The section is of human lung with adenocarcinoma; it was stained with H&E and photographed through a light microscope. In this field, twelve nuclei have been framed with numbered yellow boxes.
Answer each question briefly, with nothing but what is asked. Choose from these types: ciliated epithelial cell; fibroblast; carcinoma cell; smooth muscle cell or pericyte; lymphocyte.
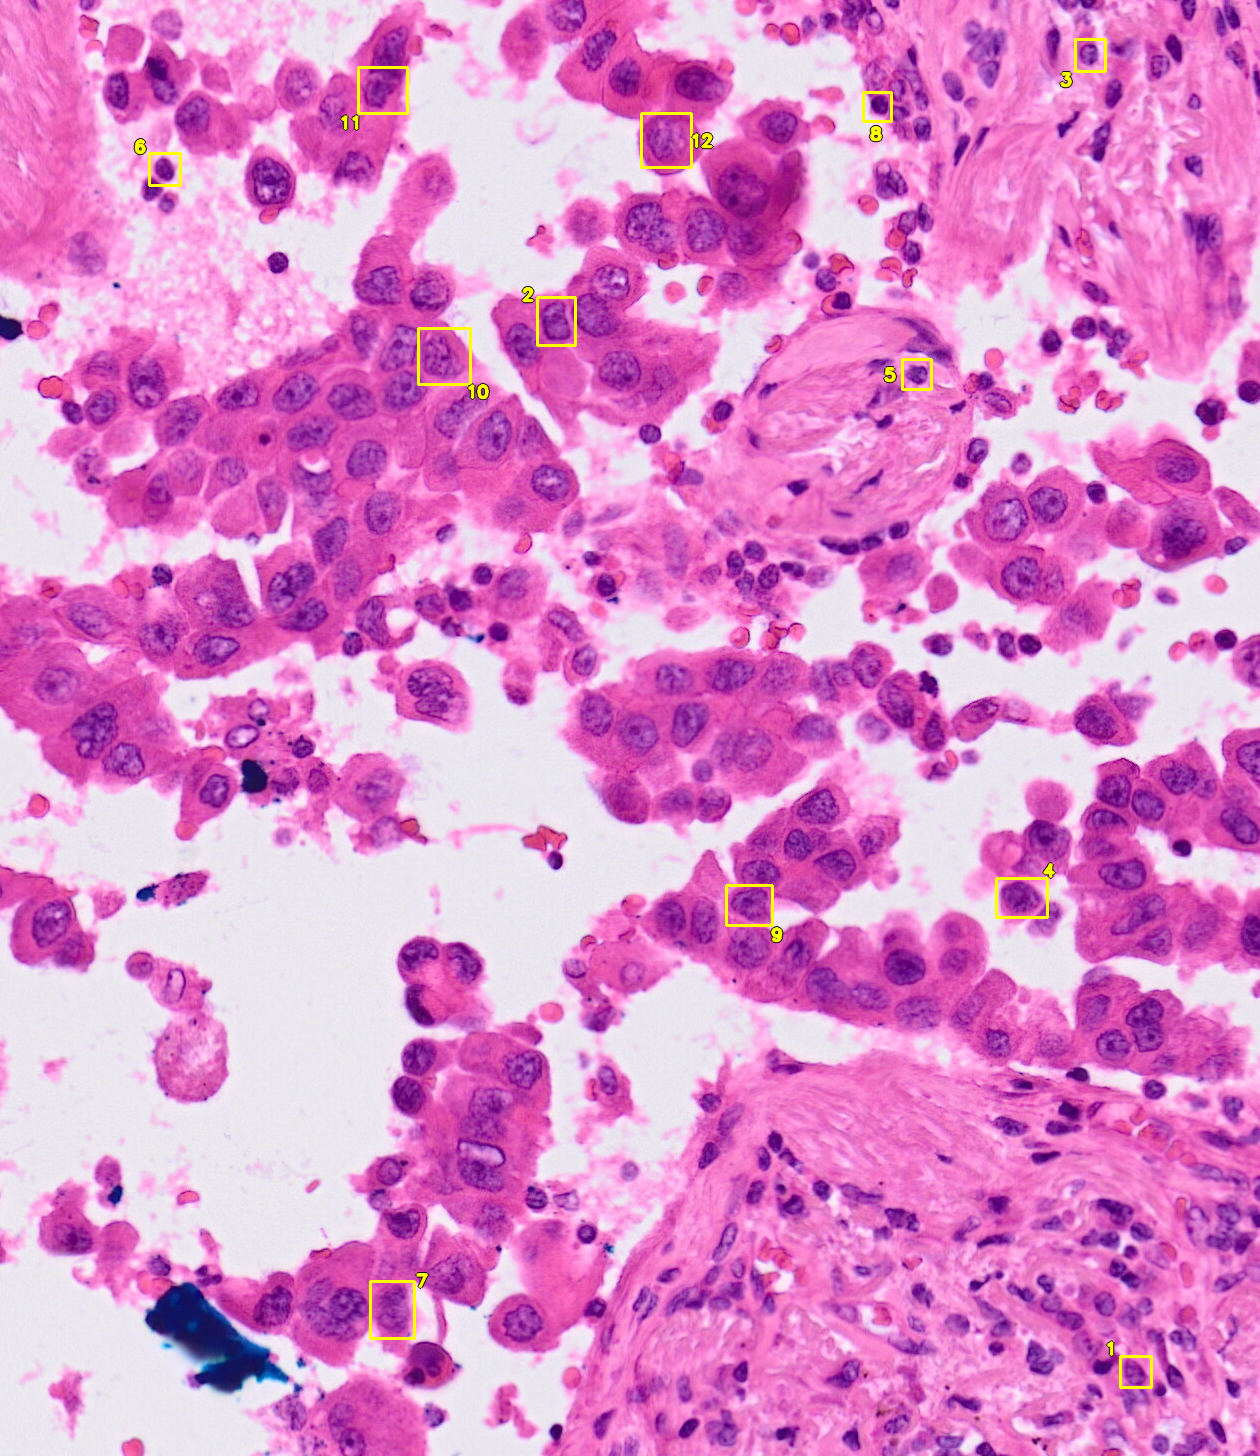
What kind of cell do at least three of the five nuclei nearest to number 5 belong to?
fibroblast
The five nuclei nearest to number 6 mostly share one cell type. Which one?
carcinoma cell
